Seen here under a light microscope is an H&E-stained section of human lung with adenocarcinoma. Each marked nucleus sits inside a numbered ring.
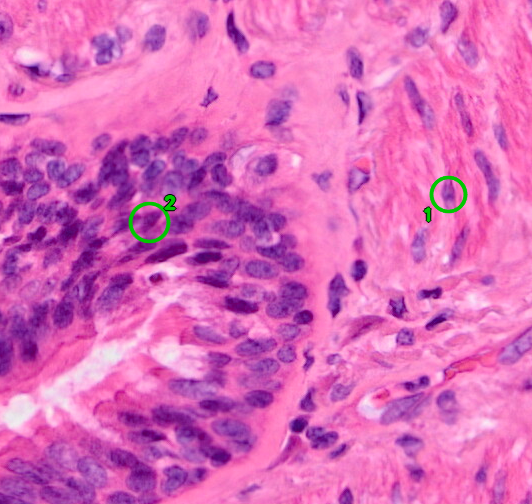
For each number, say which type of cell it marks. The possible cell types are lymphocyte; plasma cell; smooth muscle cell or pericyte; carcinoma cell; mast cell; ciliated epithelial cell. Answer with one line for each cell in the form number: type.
1: smooth muscle cell or pericyte
2: ciliated epithelial cell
